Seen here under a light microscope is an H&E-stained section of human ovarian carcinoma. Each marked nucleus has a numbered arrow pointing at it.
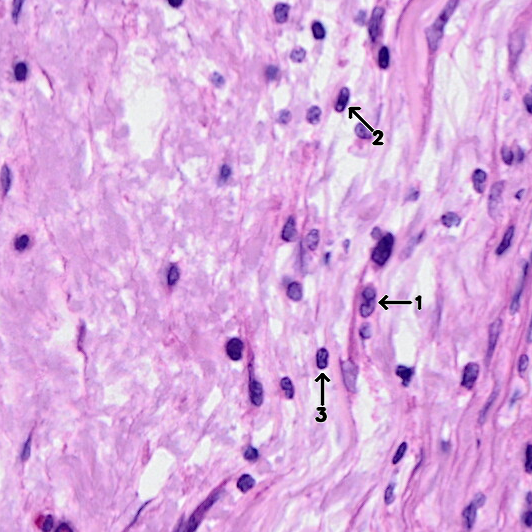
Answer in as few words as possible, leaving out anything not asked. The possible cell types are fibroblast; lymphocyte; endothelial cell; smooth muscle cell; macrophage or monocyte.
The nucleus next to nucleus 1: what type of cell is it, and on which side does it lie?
a lymphocyte, below nucleus 1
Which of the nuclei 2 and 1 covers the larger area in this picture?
1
